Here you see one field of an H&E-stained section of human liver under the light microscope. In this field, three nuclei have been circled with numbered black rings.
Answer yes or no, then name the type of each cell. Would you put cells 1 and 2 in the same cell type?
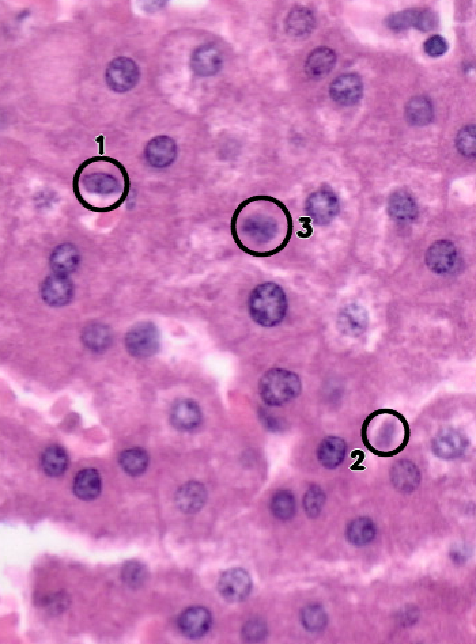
Yes, cells 1 and 2 both count as Kupffer cells.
